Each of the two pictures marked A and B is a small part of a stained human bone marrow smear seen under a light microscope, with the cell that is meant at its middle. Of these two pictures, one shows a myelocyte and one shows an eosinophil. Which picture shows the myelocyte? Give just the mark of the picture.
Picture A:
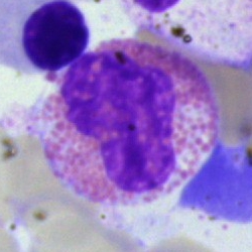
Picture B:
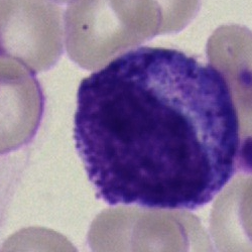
B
